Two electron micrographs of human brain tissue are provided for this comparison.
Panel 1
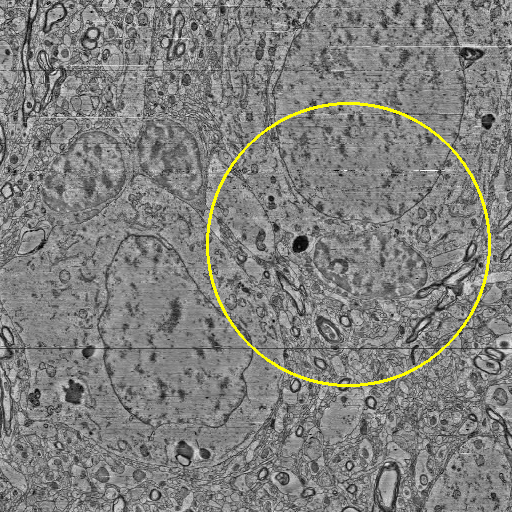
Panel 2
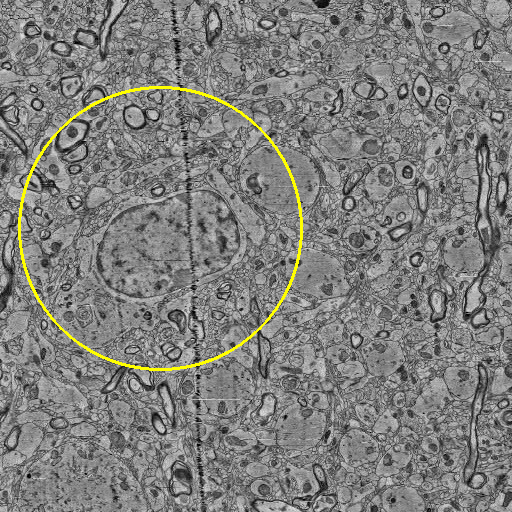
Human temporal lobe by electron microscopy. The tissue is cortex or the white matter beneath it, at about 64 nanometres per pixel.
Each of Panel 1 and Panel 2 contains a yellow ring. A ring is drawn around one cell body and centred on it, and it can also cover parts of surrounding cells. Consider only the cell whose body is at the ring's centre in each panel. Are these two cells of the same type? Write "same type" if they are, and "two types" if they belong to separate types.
two types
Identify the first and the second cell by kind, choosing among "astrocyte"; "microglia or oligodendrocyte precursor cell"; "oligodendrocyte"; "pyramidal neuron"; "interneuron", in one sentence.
The one in the first picture is an oligodendrocyte, while the one in the second is a microglial cell or oligodendrocyte precursor cell.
